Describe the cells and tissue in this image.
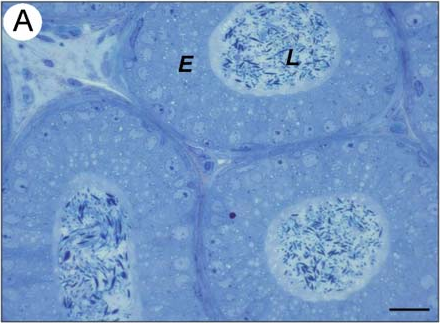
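This shows cross-sections of several epididymal tubules, each lined by a tall epithelium around a central lumen. Between the tubules runs thin connective tissue with a few flattened cells. A thin layer of flattened cells surrounds the base of each tubule.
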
